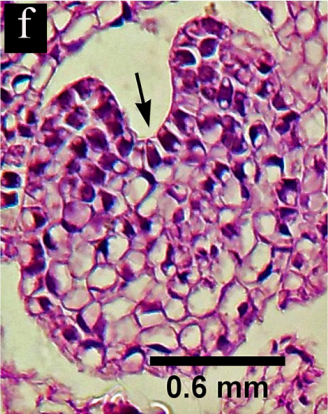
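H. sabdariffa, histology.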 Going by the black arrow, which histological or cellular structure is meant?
cotyledonary notch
